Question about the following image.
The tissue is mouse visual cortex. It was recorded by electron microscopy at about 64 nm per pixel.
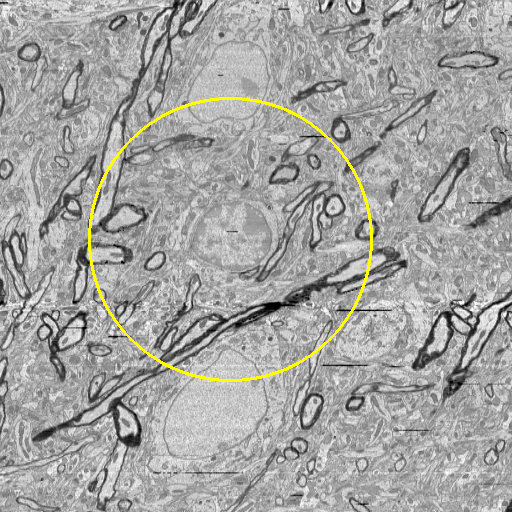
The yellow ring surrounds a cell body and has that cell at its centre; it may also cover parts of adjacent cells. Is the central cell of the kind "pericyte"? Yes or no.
No, it is of another kind.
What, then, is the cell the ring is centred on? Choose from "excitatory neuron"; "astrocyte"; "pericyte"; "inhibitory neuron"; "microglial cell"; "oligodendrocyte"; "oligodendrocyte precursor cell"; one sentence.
The answer is that the ringed cell is an oligodendrocyte.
